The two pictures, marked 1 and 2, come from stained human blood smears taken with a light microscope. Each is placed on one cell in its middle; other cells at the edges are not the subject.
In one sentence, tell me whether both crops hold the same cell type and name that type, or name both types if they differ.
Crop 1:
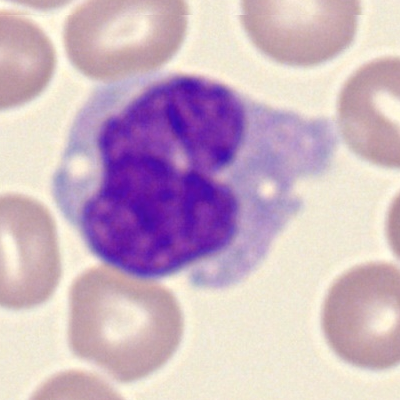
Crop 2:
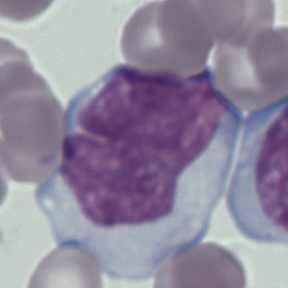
No, crop 1 shows a monocyte and crop 2 a blast.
